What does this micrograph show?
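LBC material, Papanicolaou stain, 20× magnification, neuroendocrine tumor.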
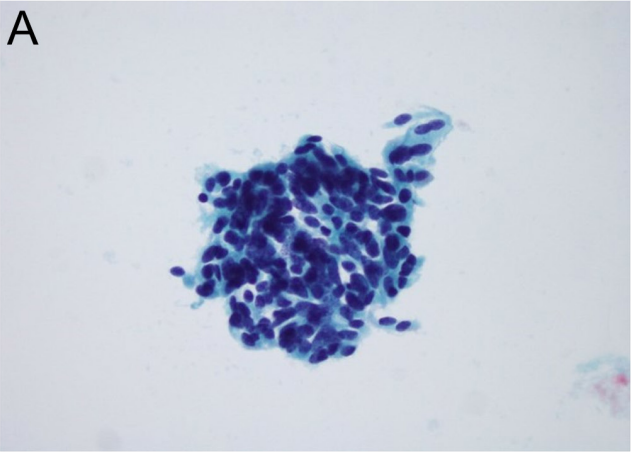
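Nuclei are crowded and overlapping, dark blue and hyperchromatic, with dense, pyknotic-looking chromatin and no distinct nucleoli. Cytoplasm is scant, pale blue-green, forming a narrow rim barely separating nuclei. Nuclear shapes range from round to oval; at the upper right margin several nuclei are elongated, giving a spindled look. A few cells sit loosely at the cluster edge. No glandular lumina or keratinisation is seen.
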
